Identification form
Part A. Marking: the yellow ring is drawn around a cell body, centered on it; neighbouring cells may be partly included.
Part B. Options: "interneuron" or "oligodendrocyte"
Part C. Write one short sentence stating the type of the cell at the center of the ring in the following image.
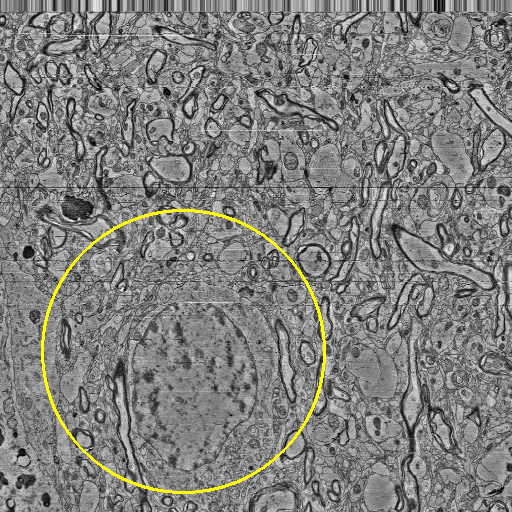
The center of the ring holds an interneuron.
